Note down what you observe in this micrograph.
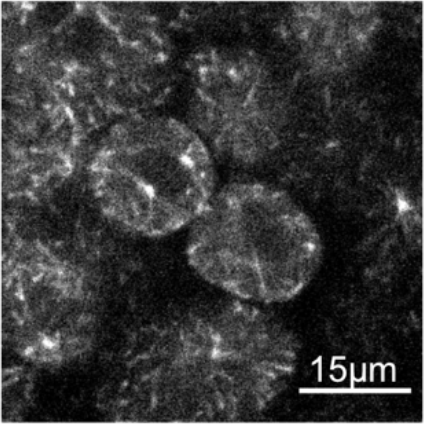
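The cells are roughly circular, about fifteen micrometres across, and sit closely packed beside one another. Within each cell the comets are scattered through the cytoplasm as short dashes, many lying along the cell edge and others pointing inward. In some cells the dashes seem to radiate from a bright central point. Between the cells lie darker gaps with little signal.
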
